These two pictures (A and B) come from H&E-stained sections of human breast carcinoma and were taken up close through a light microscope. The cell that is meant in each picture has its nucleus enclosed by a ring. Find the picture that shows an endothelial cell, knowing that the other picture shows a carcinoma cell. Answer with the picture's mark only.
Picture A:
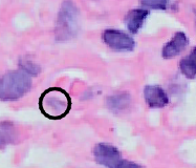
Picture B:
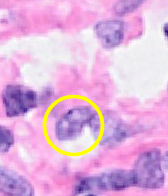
A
